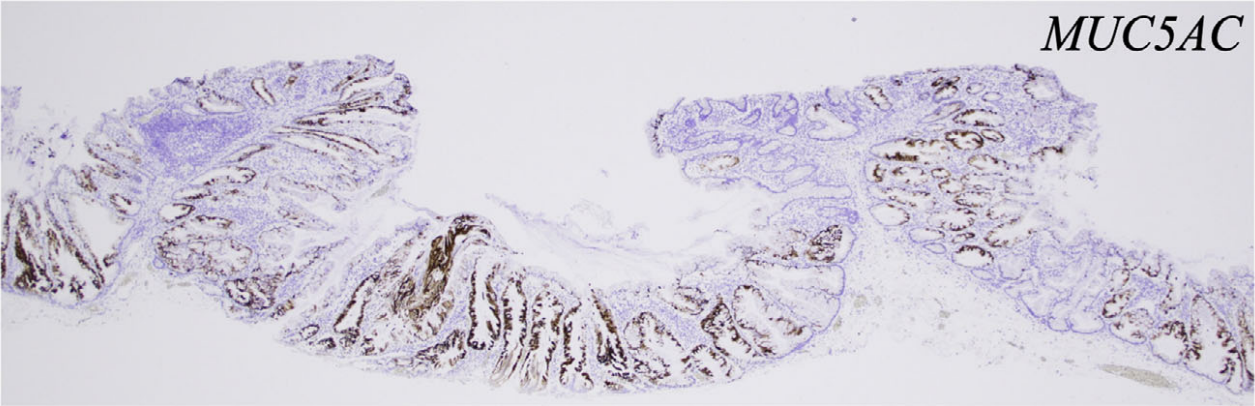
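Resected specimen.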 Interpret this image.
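This is a long strip of glandular mucosa with many crypts, some cut lengthwise and some across. Brown stain fills the epithelium of crypts in patches, strongest in the middle and on the right, while other crypts stay blue. The stroma between the crypts is pale with small blue nuclei, and a dense blue cluster of cells lies in the left portion. Below the mucosa is a looser, paler layer.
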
